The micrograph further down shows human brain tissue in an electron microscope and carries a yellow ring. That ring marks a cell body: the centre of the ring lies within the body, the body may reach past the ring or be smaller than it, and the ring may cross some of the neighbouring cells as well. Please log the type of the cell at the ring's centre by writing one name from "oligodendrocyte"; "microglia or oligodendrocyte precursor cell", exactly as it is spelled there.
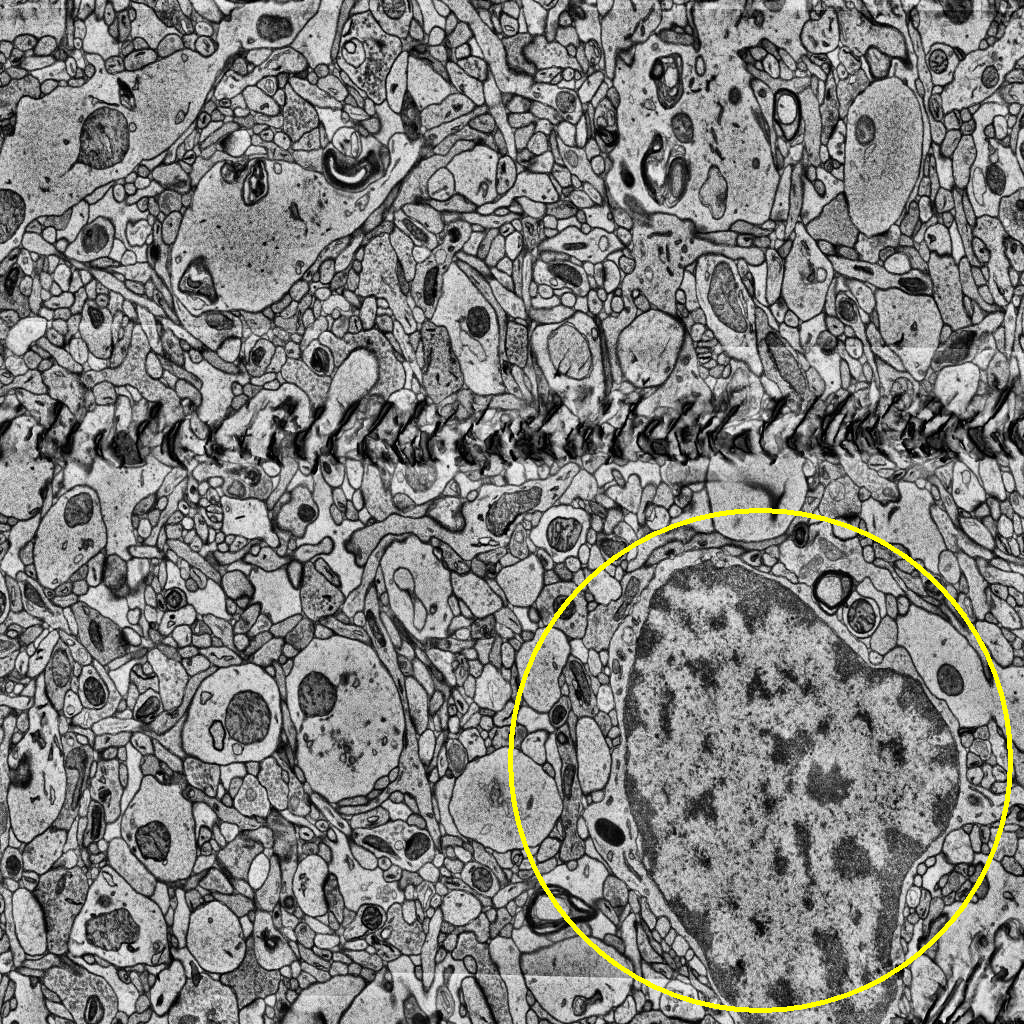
microglia or oligodendrocyte precursor cell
